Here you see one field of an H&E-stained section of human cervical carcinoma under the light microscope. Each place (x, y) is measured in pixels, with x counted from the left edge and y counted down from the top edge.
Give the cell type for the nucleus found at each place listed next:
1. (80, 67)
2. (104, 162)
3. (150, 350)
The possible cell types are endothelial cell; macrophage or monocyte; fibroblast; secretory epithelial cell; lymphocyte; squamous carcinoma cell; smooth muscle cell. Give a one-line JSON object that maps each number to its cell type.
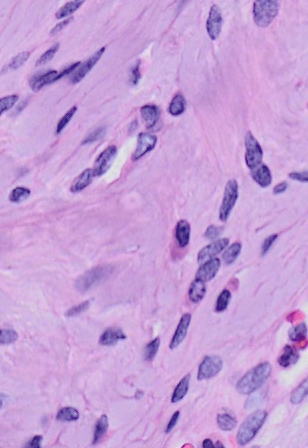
{"1": "fibroblast", "2": "endothelial cell", "3": "fibroblast"}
